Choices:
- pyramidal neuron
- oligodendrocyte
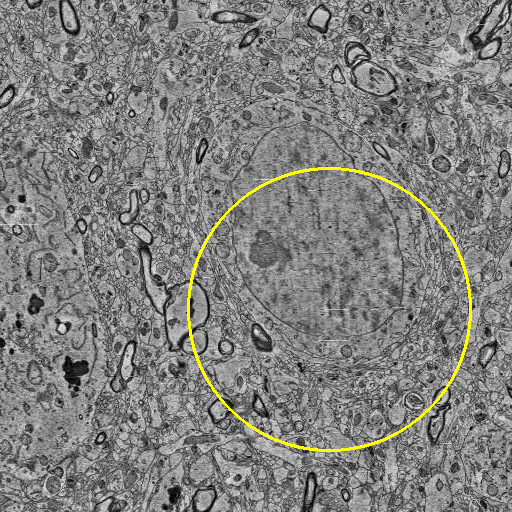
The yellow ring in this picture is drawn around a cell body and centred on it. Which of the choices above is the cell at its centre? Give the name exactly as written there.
pyramidal neuron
